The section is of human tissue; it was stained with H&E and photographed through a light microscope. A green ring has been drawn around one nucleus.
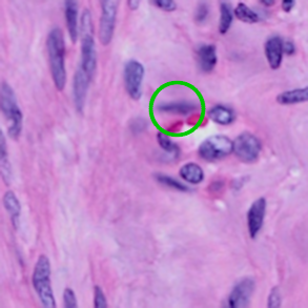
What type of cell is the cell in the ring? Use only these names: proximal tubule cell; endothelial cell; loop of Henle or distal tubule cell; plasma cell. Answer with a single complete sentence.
Considered by cell type, the cell in the ring is an endothelial cell.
